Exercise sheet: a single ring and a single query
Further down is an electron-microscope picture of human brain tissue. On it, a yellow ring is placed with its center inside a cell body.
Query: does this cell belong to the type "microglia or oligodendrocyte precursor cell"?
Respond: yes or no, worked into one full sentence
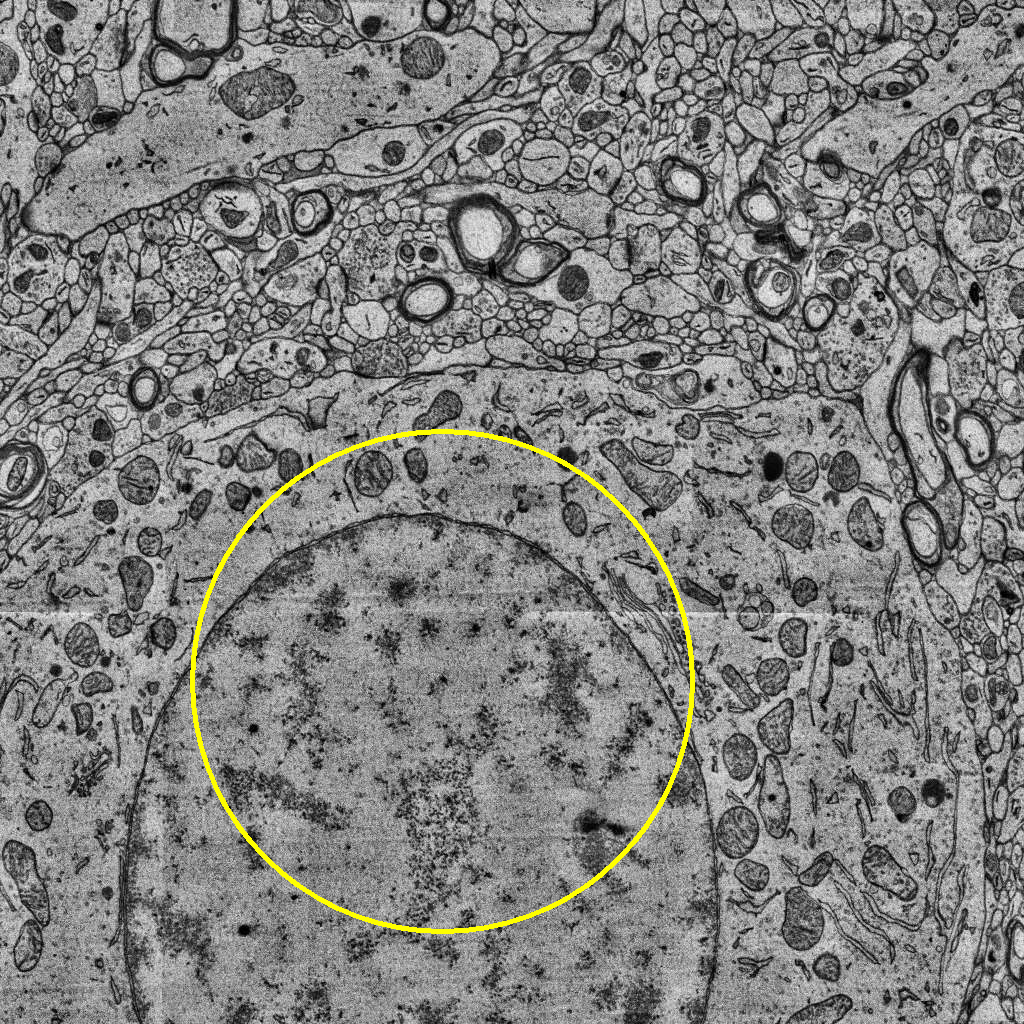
No, this cell, found at the center of the ring in the picture, is of a different type.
